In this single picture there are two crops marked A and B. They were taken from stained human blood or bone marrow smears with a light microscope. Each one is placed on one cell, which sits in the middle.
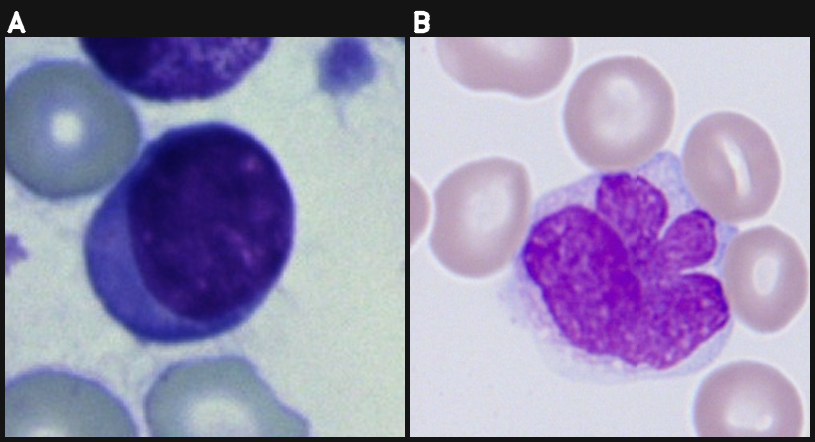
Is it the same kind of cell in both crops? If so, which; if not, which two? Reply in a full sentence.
No, a blast is the subject of crop A, and a monocyte is the subject of crop B.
